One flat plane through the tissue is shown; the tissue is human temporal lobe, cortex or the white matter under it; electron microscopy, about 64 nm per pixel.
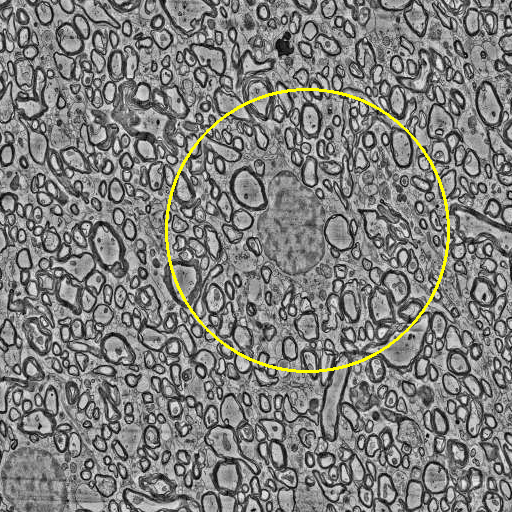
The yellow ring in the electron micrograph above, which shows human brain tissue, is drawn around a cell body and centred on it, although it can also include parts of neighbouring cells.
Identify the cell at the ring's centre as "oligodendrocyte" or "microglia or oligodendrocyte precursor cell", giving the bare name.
oligodendrocyte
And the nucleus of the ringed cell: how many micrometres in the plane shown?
Roughly 7 by 5 micrometres in this plane, for the nucleus of the ringed cell.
